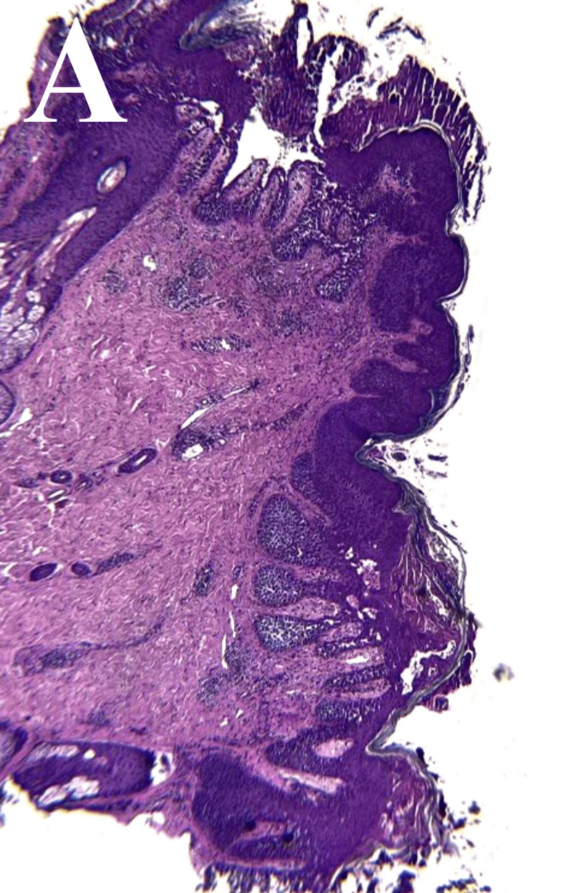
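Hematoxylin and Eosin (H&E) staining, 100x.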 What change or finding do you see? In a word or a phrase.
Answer: Intraepidermal vesicles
